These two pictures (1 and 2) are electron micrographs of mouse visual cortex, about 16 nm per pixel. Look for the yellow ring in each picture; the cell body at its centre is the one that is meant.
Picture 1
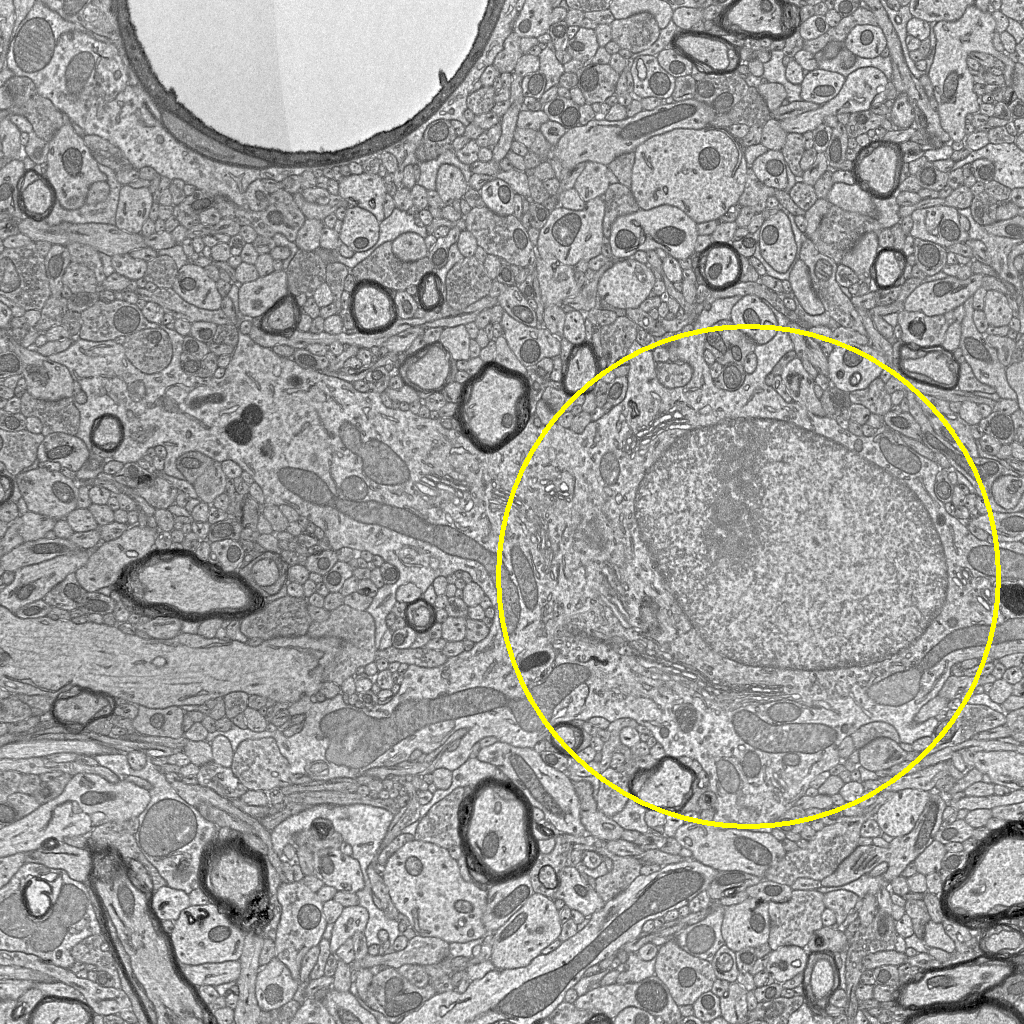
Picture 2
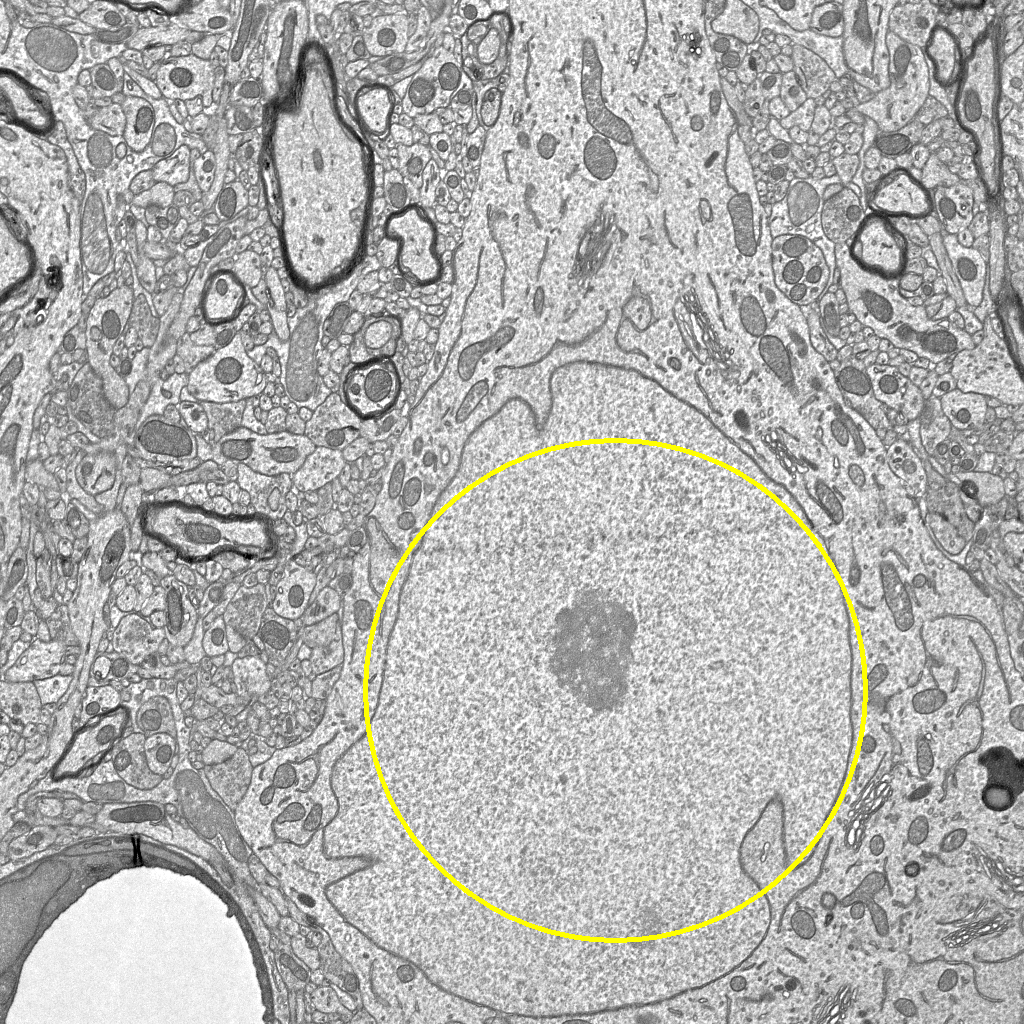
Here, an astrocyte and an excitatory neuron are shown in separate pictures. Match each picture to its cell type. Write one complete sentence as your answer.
It is picture 1 that shows an astrocyte, and picture 2 that shows an excitatory neuron.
